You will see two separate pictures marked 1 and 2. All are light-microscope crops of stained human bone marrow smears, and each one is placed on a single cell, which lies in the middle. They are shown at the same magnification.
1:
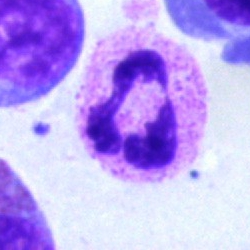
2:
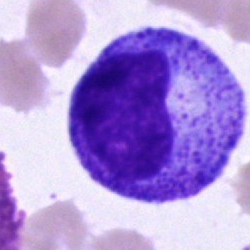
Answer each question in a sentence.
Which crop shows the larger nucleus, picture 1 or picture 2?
It is the nucleus in picture 2, about 2.5 times as large in area as the one in picture 1.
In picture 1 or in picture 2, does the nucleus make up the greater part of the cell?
Of the two, the nucleus in picture 2 makes up the greater part of its cell.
